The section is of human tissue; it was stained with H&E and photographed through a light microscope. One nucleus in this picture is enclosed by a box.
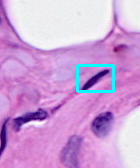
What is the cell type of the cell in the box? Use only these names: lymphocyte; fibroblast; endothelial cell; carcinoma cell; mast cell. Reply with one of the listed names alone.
fibroblast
